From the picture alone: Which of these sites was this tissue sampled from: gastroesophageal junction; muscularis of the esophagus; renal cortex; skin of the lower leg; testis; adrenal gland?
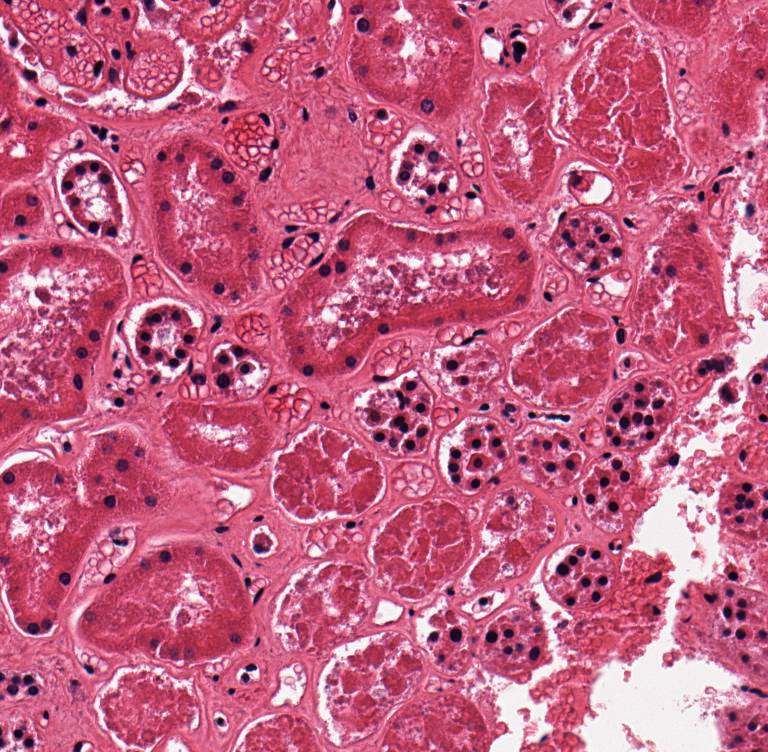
renal cortex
